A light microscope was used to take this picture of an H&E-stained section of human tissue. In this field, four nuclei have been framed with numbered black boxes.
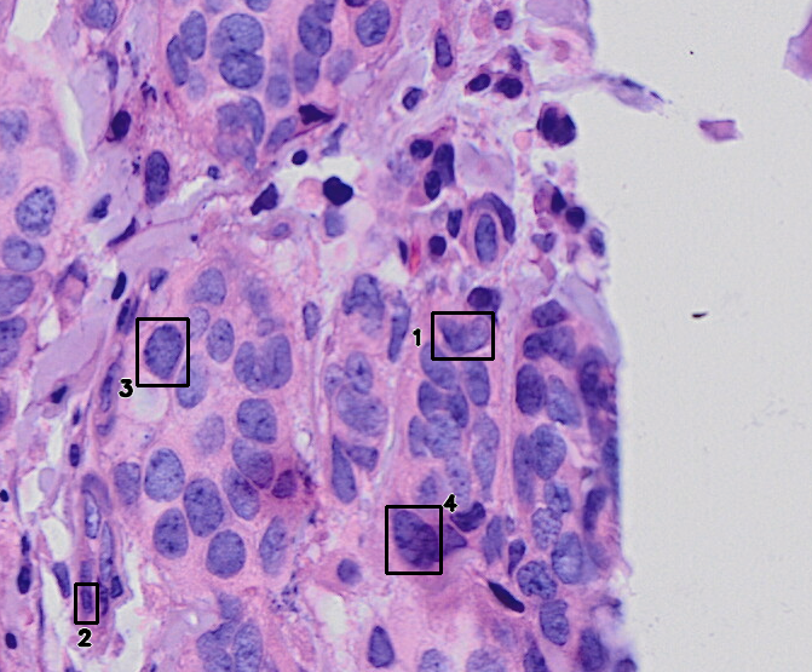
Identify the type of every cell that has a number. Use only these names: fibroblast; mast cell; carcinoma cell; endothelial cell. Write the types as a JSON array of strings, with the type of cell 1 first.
["carcinoma cell", "endothelial cell", "carcinoma cell", "carcinoma cell"]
